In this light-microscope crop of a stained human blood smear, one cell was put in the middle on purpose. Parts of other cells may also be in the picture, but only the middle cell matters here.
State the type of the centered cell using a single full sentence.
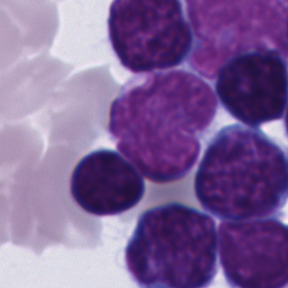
Classification of the middle cell gives a myeloblast.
